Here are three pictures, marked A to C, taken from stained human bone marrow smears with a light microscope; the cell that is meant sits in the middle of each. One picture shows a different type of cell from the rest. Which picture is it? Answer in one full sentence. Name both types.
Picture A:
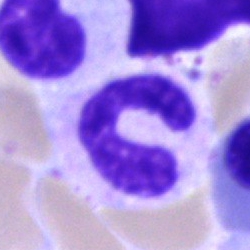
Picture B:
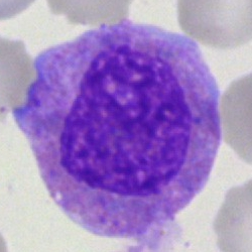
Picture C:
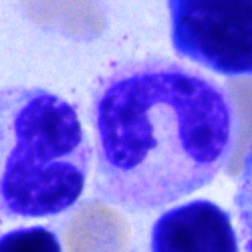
Picture B is the odd one out: it shows an eosinophil, while the others show band neutrophils.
